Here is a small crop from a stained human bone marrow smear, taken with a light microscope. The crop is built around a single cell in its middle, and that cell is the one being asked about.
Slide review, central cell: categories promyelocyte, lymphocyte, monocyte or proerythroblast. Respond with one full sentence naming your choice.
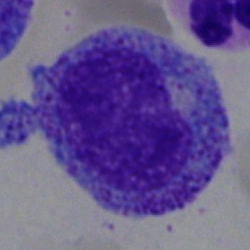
Seen at the centre of the crop is a promyelocyte.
